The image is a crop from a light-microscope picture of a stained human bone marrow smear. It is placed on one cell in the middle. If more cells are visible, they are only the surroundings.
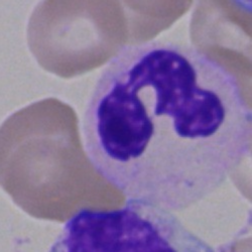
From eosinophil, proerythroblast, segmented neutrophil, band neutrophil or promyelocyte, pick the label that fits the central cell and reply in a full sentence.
In this smear crop, the middle cell is a segmented neutrophil.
